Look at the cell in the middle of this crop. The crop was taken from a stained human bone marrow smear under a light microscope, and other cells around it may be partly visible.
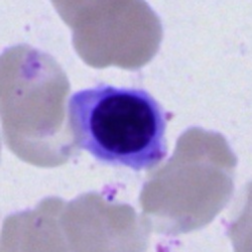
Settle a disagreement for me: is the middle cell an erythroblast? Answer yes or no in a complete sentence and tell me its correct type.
Yes, an erythroblast is what the central cell is.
